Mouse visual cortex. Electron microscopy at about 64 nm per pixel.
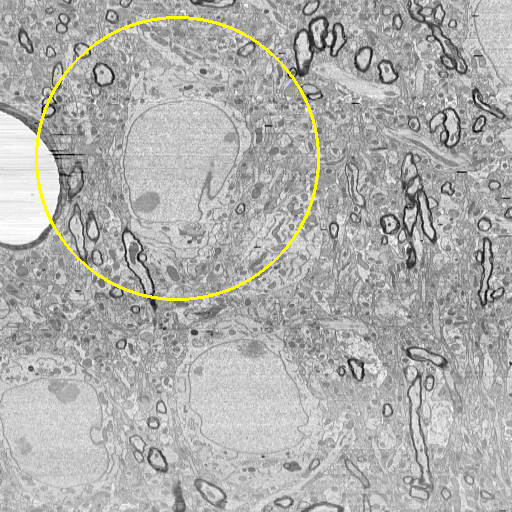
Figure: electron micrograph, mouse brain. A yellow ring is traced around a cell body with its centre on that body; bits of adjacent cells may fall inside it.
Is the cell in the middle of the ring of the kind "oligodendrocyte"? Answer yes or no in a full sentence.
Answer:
No, another kind applies to the cell centred within the yellow ring of the picture.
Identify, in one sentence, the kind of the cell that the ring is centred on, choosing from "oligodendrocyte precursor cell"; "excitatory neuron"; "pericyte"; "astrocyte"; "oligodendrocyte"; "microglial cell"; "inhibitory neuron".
Instead, the cell at the centre of the yellow ring is an excitatory neuron.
